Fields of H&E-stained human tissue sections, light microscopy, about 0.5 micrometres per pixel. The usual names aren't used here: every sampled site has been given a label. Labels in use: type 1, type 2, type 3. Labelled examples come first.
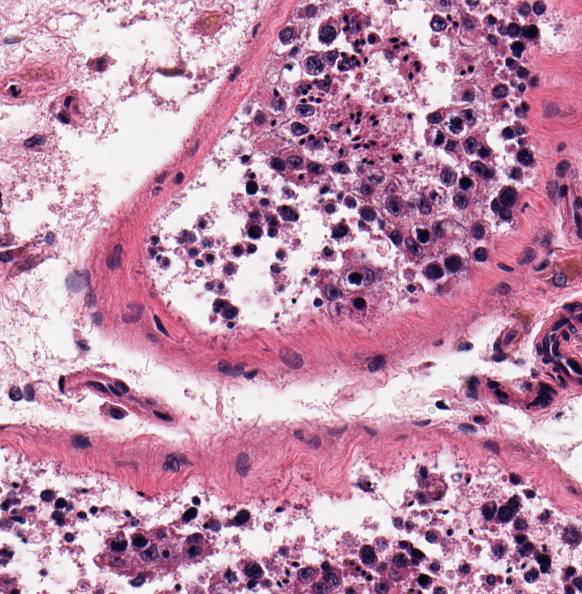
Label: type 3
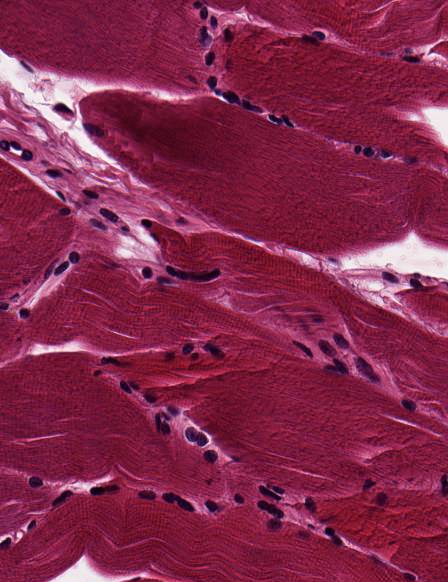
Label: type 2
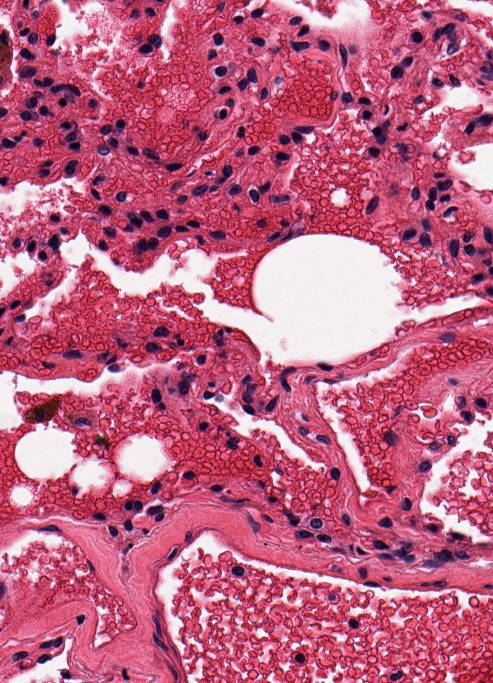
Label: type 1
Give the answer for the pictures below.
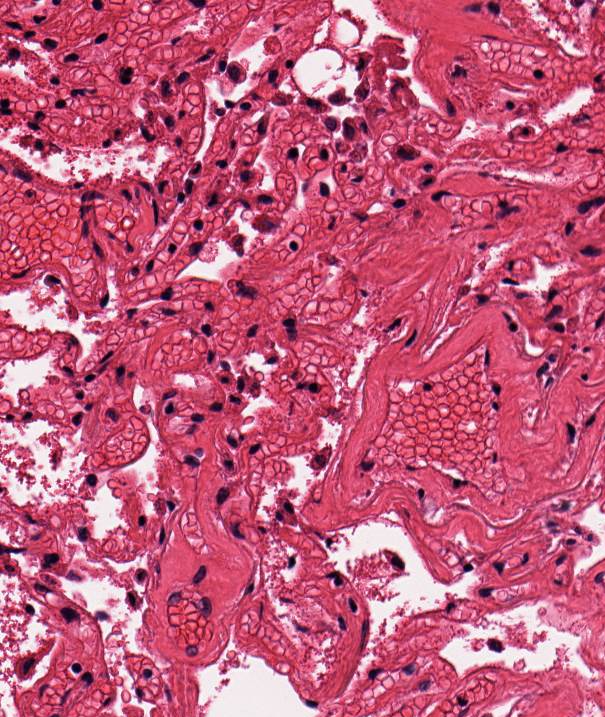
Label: type 1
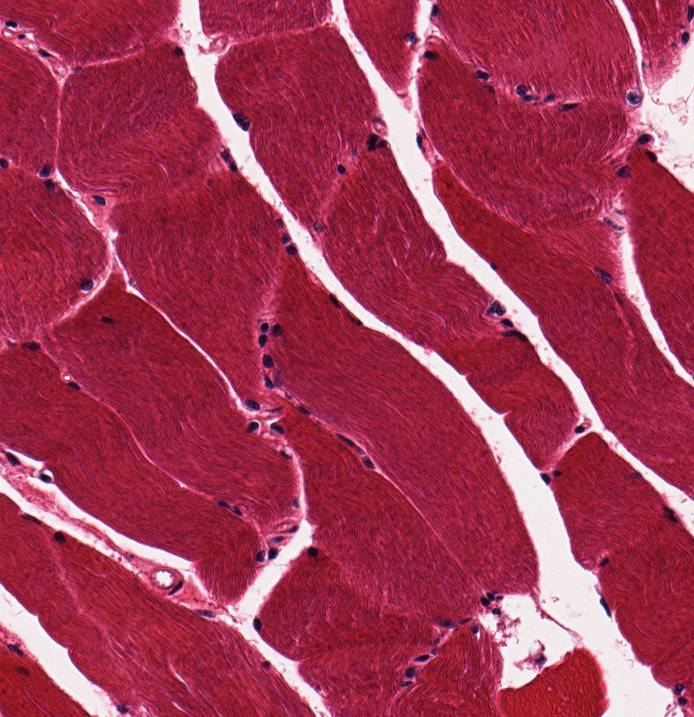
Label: type 2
